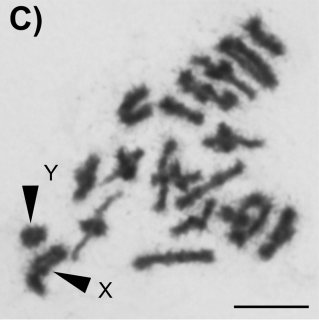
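A spread of dark grey, strongly condensed chromosomes fills the field, each one a thick paired unit: several form crosses or short rings, others lie as stout rods. At the left edge, two arrowheads point to a small rounded element and a larger, longer element lying close by, these two unlike the other pairs.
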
